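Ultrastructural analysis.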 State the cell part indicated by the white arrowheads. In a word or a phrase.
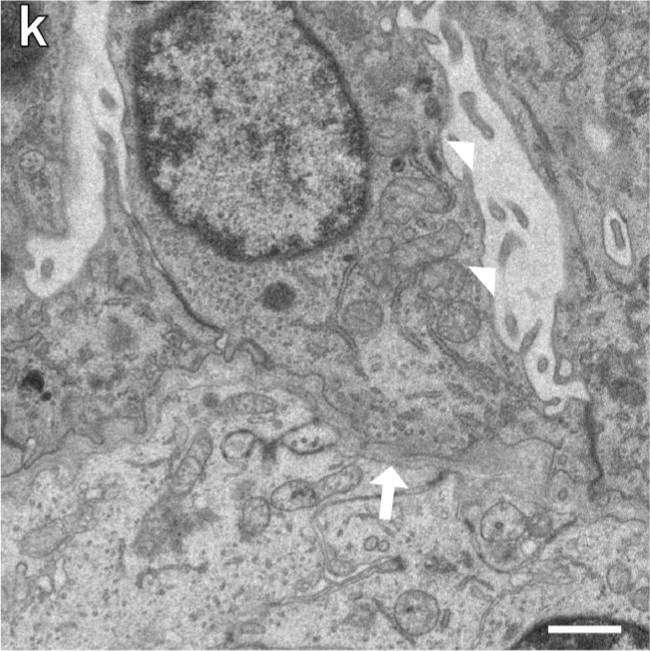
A: podocyte microvilli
